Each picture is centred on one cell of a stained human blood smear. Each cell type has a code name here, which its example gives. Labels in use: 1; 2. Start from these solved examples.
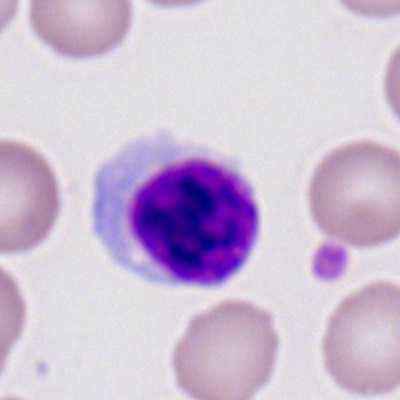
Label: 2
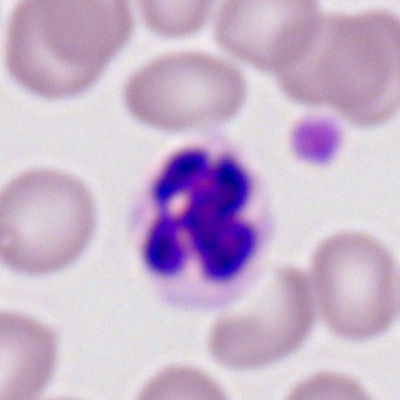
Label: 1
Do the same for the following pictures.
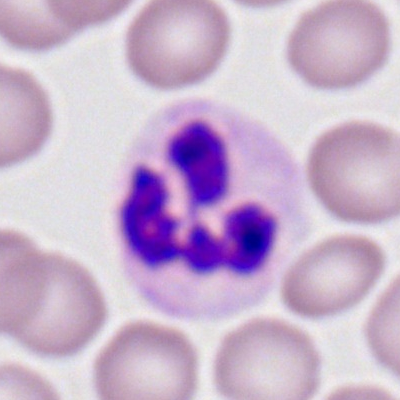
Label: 1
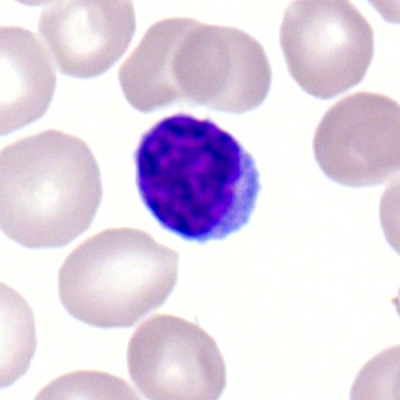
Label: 2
